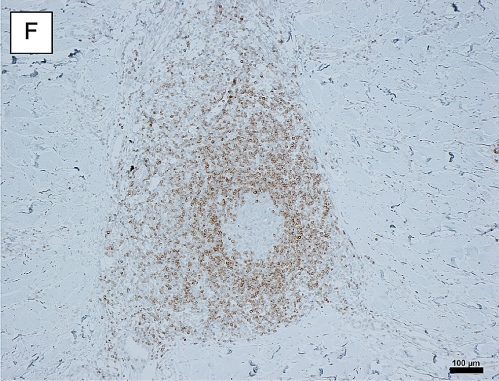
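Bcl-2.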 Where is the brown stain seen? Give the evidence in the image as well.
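Periphery. Brown-stained cells form a ring around a paler central area within a round aggregate. The central area of the aggregate is largely unstained.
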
